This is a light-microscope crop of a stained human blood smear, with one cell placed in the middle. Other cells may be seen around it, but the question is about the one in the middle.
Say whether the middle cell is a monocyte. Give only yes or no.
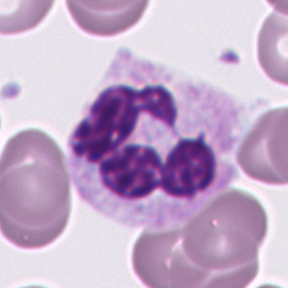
no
